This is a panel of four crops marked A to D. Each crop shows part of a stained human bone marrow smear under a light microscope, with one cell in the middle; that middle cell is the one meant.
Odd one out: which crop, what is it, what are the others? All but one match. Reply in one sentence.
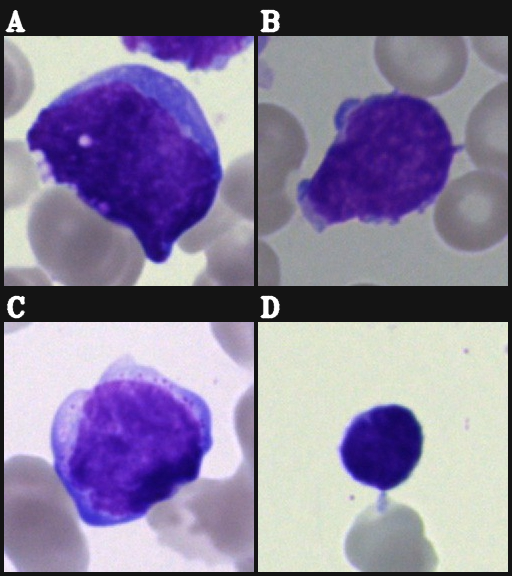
The odd one out is crop D, a lymphocyte, and all other crops show blasts.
